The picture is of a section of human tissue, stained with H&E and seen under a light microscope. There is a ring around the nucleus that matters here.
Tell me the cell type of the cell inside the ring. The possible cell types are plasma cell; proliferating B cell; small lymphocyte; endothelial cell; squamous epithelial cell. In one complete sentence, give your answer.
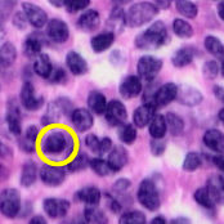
In short, the cell inside the ring on this section is a small lymphocyte.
